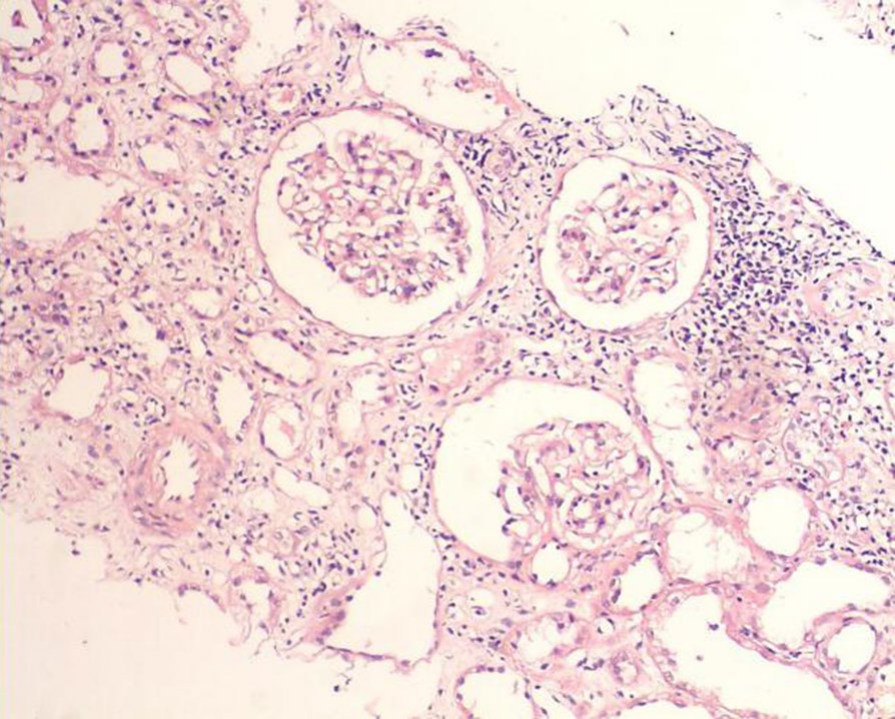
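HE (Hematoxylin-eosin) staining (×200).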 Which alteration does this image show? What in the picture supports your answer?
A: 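Tubules atrophy. Many tubules have a thin, flattened epithelial lining around wide, empty lumens. Tubules lie spaced apart by broad interstitium rather than packed back to back.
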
